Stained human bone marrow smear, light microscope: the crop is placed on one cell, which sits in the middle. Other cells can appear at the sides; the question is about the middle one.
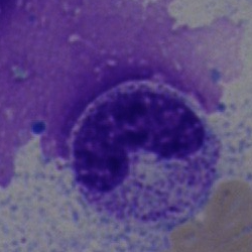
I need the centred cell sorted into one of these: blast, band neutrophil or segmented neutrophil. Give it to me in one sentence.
The cell at the centre of the field is a band neutrophil.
